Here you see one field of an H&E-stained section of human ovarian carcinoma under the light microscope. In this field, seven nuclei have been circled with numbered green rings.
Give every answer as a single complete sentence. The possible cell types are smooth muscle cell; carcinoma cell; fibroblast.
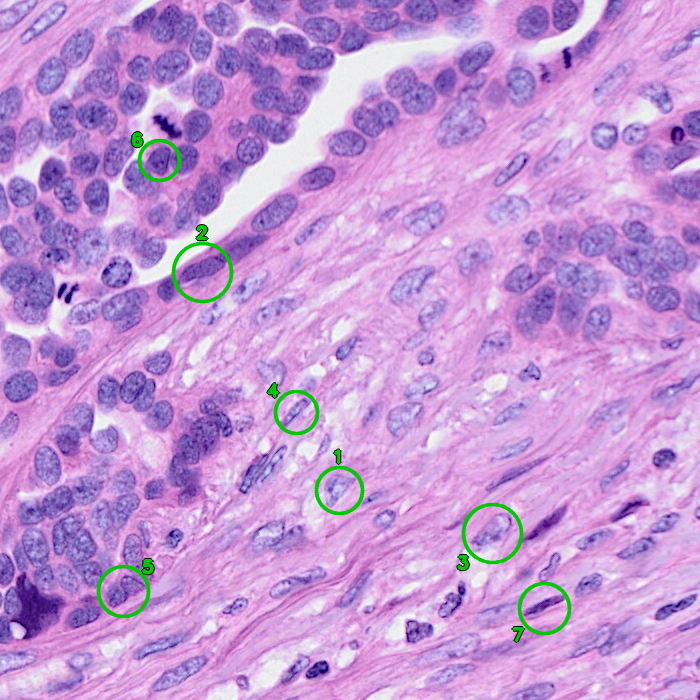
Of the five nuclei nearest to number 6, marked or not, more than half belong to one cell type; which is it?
Carcinoma cells make up most of the five nuclei closest to number 6.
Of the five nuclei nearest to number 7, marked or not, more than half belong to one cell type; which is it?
Fibroblasts make up most of the five nuclei closest to number 7.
